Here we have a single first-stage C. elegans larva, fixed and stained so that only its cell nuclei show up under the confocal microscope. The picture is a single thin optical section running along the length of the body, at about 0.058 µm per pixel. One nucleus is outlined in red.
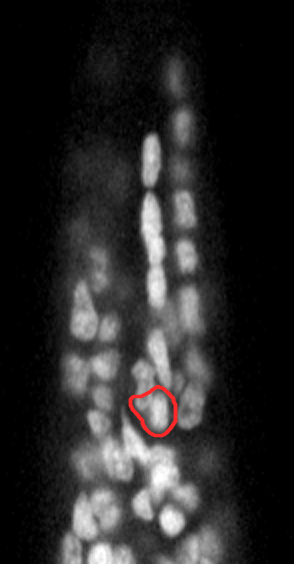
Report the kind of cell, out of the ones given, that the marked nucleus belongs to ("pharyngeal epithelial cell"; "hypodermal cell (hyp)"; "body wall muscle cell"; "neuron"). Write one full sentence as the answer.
This nucleus is from a neuron.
